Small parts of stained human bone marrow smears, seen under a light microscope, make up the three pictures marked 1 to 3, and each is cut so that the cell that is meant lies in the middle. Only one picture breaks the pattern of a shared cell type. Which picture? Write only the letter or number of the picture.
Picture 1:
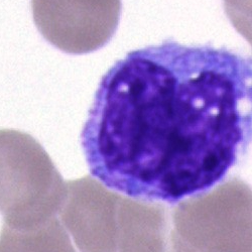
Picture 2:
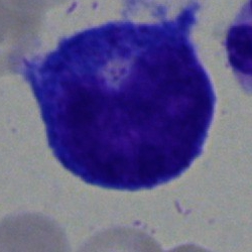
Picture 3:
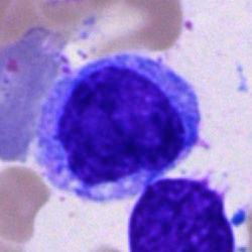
2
